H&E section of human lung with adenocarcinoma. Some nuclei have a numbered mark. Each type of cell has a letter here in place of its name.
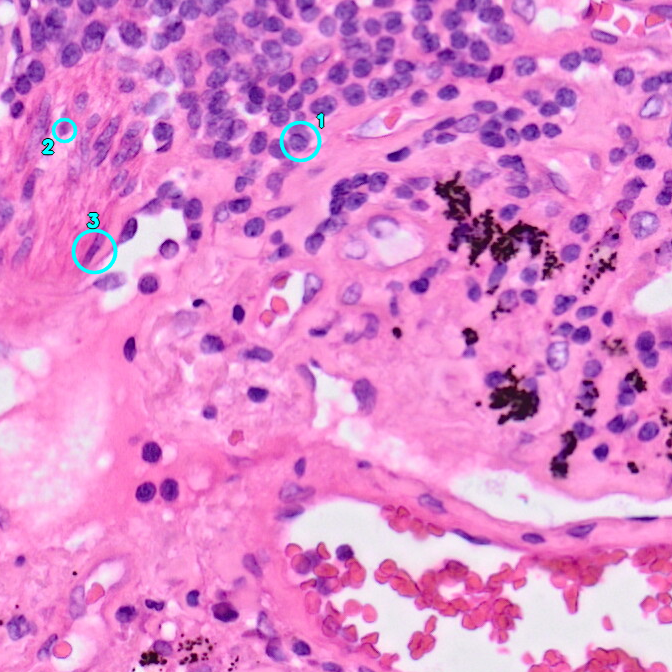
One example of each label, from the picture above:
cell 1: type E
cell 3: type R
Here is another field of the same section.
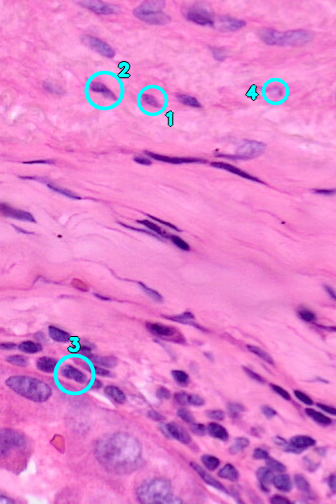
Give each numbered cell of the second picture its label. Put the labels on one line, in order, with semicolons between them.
type R; type R; type E; type R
